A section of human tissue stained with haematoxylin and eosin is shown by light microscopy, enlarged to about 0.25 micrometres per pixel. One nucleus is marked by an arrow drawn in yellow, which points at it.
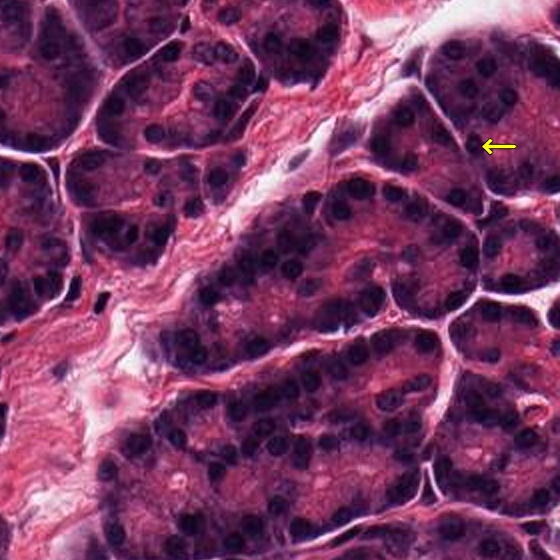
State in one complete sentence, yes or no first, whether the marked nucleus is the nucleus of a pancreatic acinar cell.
Yes, a pancreatic acinar cell is the cell that the marked nucleus belongs to.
